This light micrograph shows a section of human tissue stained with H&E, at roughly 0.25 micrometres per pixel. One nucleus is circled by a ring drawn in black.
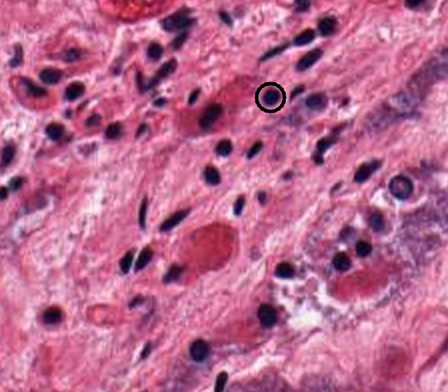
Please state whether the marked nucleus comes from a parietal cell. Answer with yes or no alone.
no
